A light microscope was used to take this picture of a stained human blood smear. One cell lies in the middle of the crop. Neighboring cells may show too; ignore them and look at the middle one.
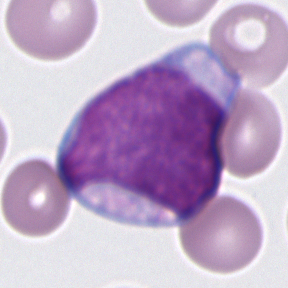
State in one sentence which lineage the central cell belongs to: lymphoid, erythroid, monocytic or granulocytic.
The cell at the center of this crop is of granulocytic lineage.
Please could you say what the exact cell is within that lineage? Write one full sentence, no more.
The middle of this crop is occupied by an atypical promyelocyte.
